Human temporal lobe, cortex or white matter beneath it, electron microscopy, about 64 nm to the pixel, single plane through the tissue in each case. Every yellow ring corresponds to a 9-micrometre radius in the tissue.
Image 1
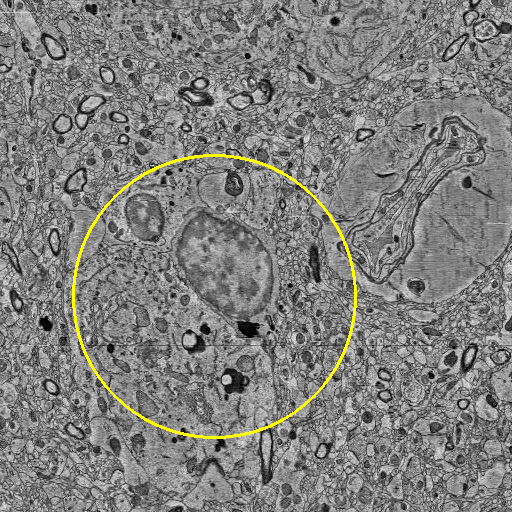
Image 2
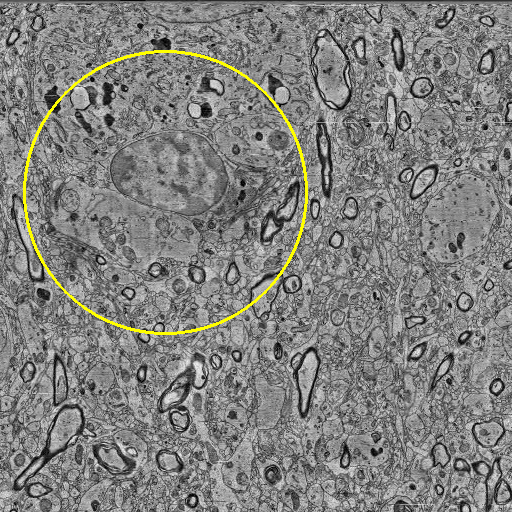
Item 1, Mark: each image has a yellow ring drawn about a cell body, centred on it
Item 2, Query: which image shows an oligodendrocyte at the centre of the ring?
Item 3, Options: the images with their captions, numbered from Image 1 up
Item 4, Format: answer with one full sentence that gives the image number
My answer is image 1, where the cell at the ring's centre fits.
